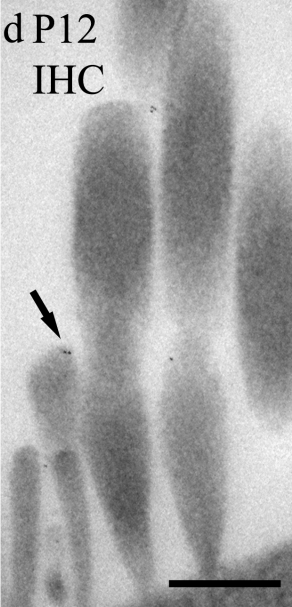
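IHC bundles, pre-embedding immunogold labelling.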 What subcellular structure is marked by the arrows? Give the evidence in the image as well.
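The arrow points at the rounded top of a short projection. Gold particles sit at that top.
Hence: tips of shorter rows of stereocilia.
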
